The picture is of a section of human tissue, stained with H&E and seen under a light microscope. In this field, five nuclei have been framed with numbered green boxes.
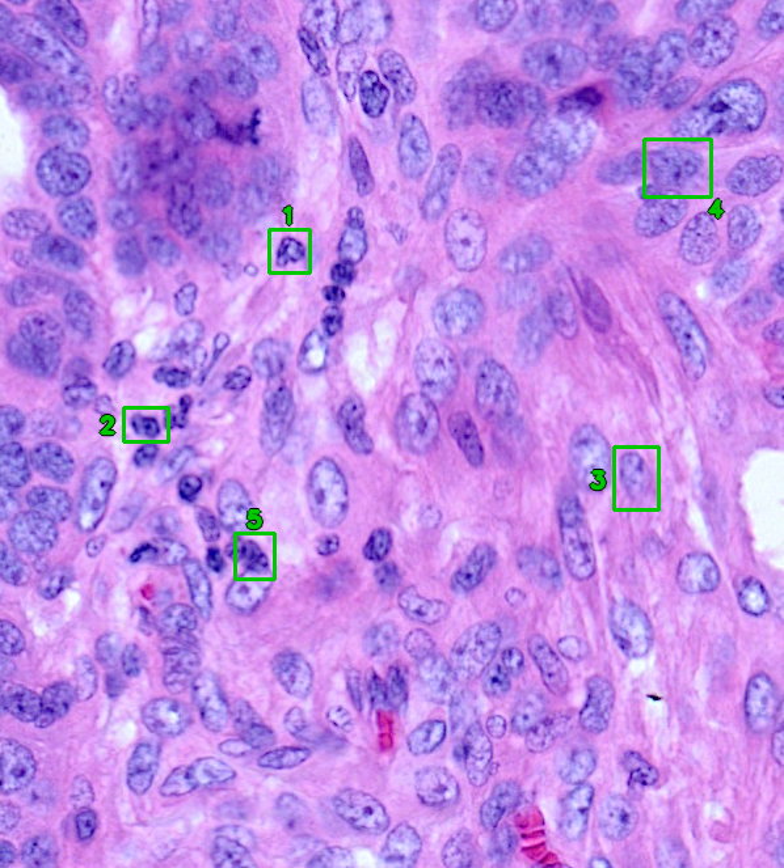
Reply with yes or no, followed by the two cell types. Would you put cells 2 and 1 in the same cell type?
Yes, cell 2 and cell 1 are both lymphocytes.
